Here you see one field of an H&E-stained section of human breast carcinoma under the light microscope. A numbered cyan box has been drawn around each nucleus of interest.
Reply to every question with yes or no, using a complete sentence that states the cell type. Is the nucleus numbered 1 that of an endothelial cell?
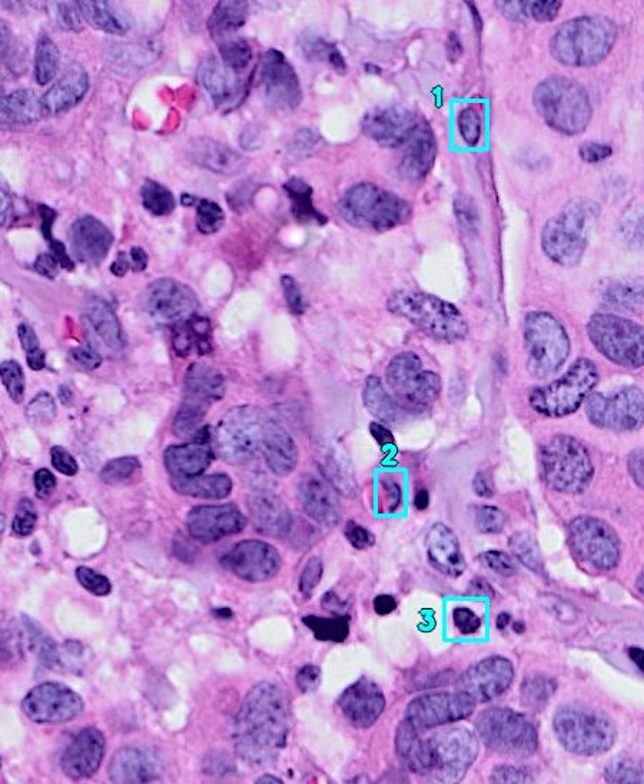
Yes, the cell identified by number 1 is an endothelial cell.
